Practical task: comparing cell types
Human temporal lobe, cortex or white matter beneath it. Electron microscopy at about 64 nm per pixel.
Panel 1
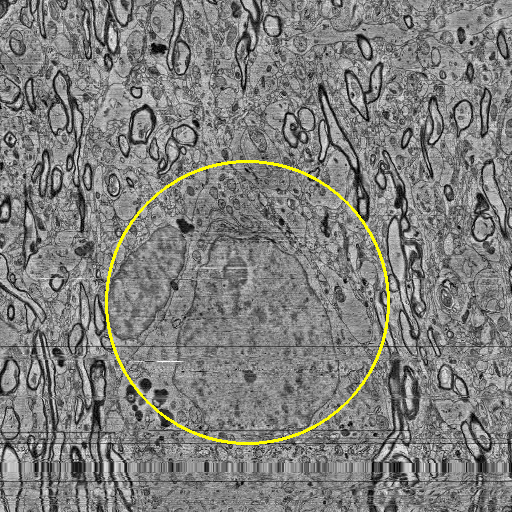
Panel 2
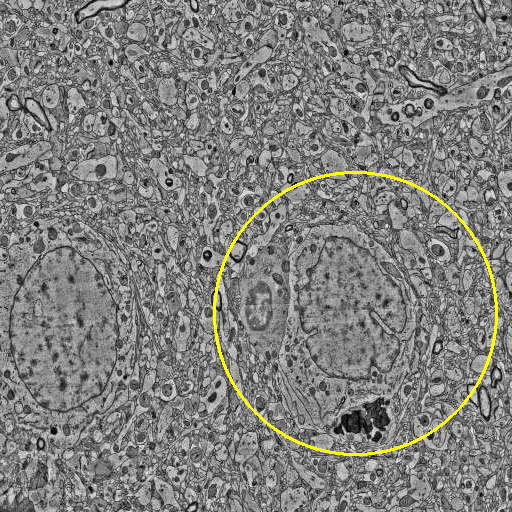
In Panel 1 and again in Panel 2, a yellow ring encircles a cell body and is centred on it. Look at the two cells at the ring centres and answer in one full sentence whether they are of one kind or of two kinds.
The two cells sitting at the ring centres of Panels 1 and 2 are of one kind.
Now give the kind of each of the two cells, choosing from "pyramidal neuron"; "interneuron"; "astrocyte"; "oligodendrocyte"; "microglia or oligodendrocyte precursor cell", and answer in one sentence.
The cell at the ring centre is an interneuron in both pictures.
